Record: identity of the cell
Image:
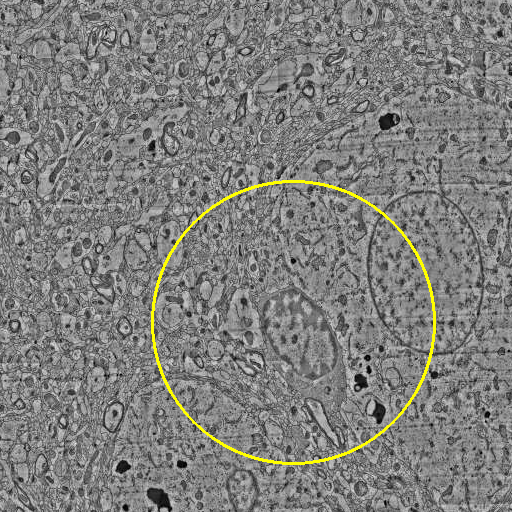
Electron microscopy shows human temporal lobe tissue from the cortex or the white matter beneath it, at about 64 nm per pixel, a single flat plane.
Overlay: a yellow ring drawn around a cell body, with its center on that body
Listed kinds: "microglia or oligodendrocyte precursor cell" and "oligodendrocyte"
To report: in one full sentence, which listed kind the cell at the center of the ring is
In the image, the cell body at the ring's center belongs to an oligodendrocyte.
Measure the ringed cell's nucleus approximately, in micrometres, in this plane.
In this plane, the nucleus is roughly 6 by 4 micrometres.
